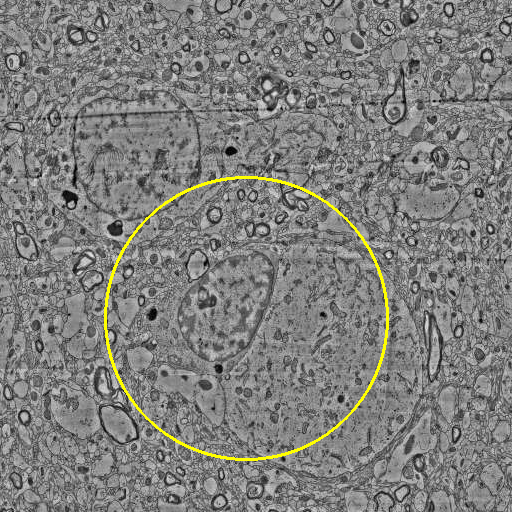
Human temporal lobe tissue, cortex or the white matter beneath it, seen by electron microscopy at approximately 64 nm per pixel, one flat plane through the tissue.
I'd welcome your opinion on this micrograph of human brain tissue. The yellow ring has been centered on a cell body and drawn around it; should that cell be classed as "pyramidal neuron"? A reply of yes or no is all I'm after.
no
